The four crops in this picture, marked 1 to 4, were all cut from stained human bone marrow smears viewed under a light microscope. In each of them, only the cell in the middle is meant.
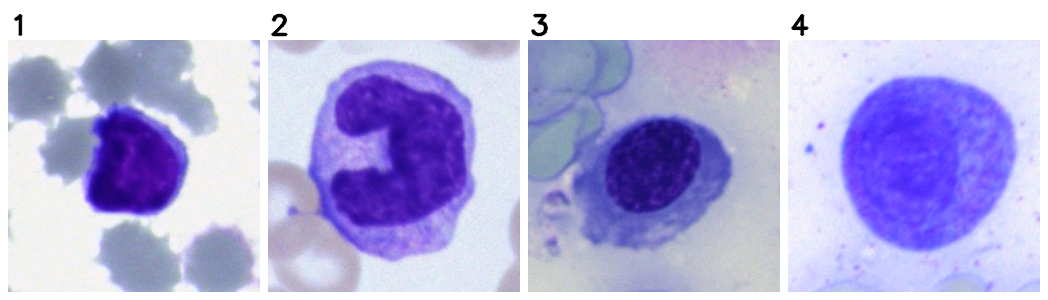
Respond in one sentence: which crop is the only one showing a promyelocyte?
Crop 4 is the single crop that shows a promyelocyte.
